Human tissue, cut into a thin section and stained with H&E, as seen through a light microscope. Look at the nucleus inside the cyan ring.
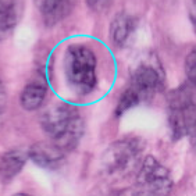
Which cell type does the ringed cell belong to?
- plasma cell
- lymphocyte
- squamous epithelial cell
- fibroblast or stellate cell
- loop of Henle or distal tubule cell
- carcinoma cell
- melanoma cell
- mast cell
melanoma cell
